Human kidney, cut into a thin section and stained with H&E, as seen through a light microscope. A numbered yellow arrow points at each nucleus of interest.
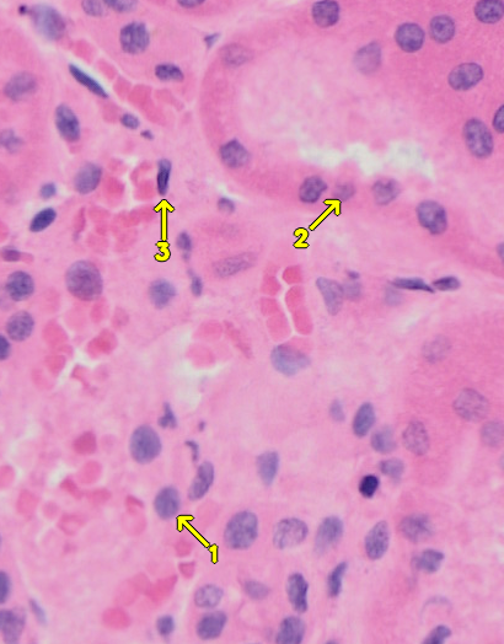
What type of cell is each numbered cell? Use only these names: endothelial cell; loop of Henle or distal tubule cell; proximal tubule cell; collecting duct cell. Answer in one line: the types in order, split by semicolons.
endothelial cell; proximal tubule cell; endothelial cell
